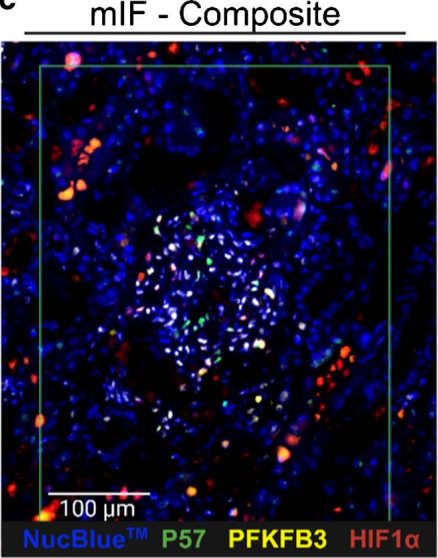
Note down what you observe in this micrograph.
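Fluorescence view of kidney tissue centred on a round, densely nucleated structure, a glomerulus. Blue nuclei are spread throughout the field, more tightly packed in the central structure. Bright red and orange cells are scattered mainly in the surrounding tissue outside the central structure.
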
